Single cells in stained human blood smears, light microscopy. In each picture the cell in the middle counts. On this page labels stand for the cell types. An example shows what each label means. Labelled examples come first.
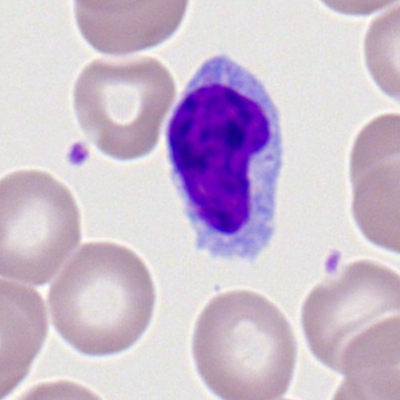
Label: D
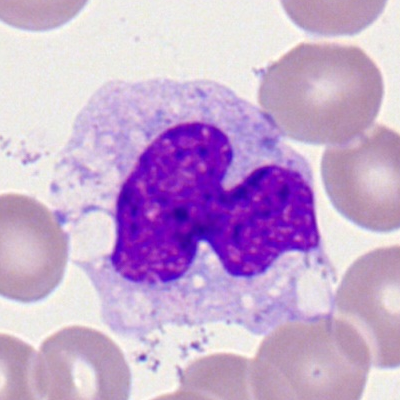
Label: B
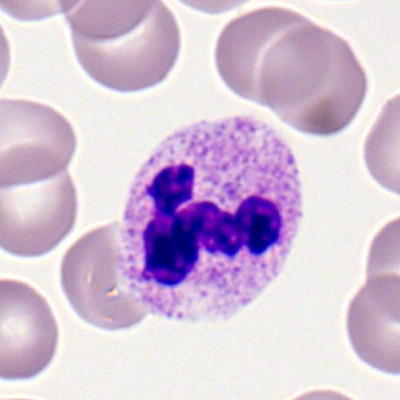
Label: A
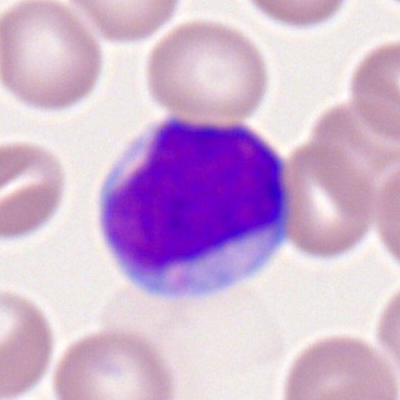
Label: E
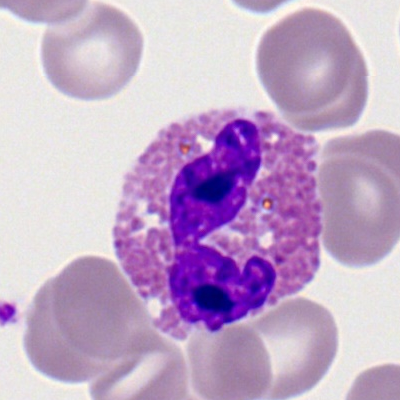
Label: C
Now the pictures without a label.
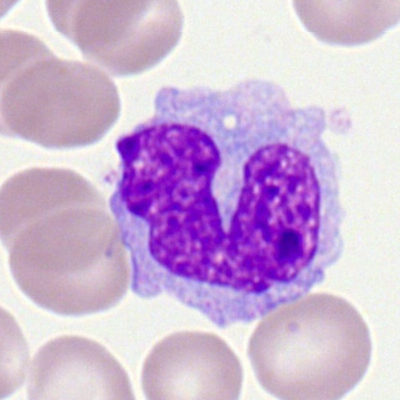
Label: B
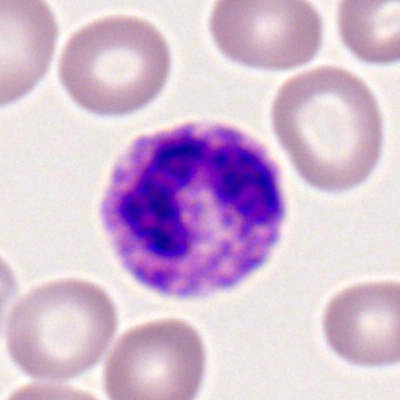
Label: C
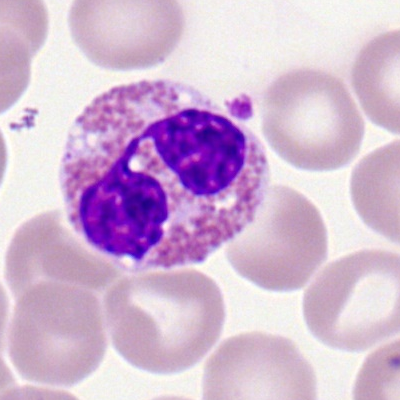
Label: C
